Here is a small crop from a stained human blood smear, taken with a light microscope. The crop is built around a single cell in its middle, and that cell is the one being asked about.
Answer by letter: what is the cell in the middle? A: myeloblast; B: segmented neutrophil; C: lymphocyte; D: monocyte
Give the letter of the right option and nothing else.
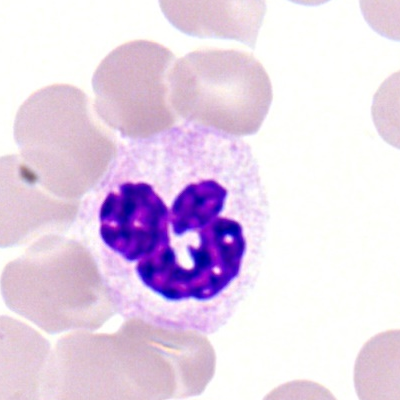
B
